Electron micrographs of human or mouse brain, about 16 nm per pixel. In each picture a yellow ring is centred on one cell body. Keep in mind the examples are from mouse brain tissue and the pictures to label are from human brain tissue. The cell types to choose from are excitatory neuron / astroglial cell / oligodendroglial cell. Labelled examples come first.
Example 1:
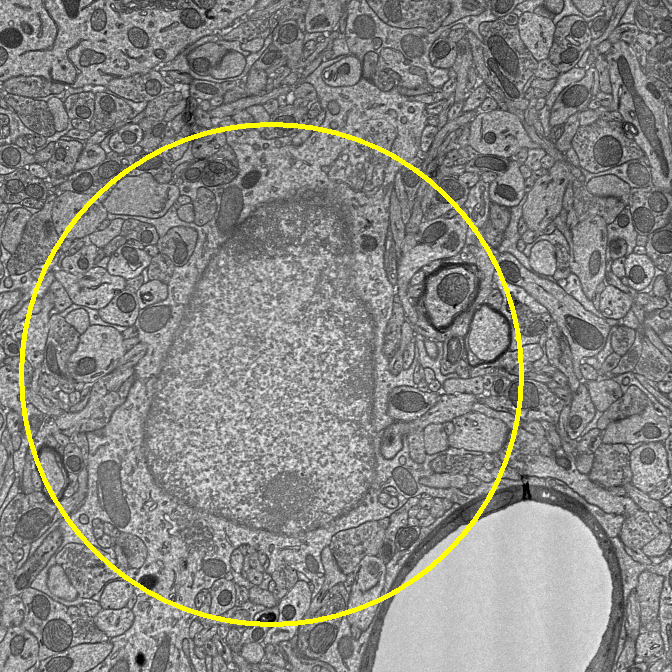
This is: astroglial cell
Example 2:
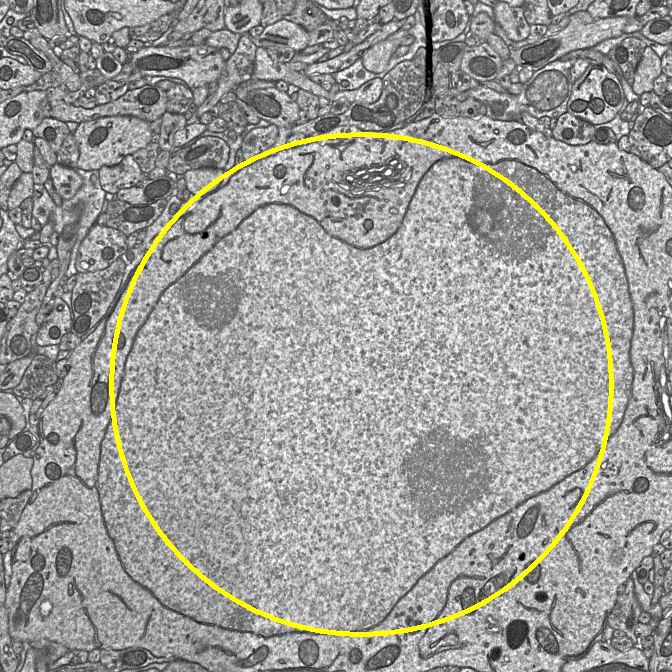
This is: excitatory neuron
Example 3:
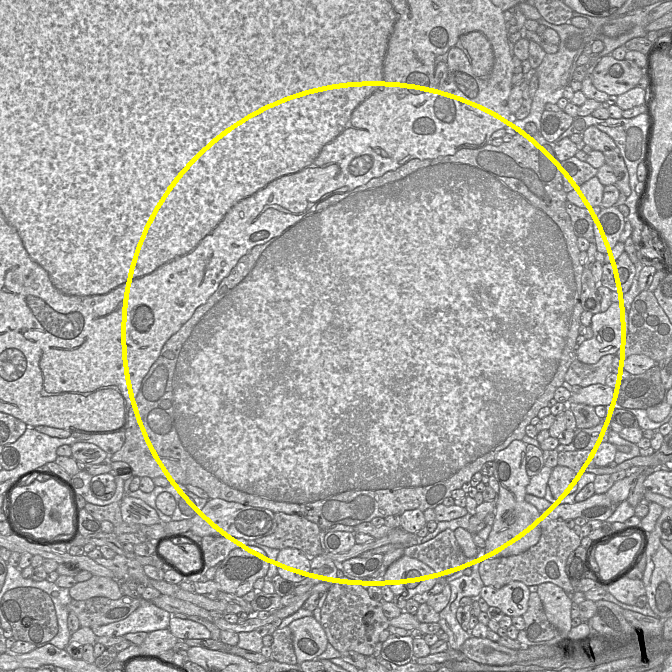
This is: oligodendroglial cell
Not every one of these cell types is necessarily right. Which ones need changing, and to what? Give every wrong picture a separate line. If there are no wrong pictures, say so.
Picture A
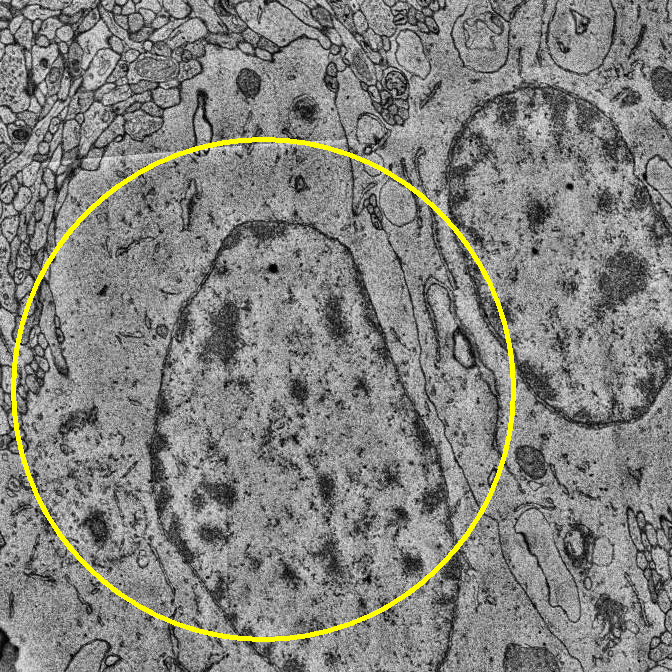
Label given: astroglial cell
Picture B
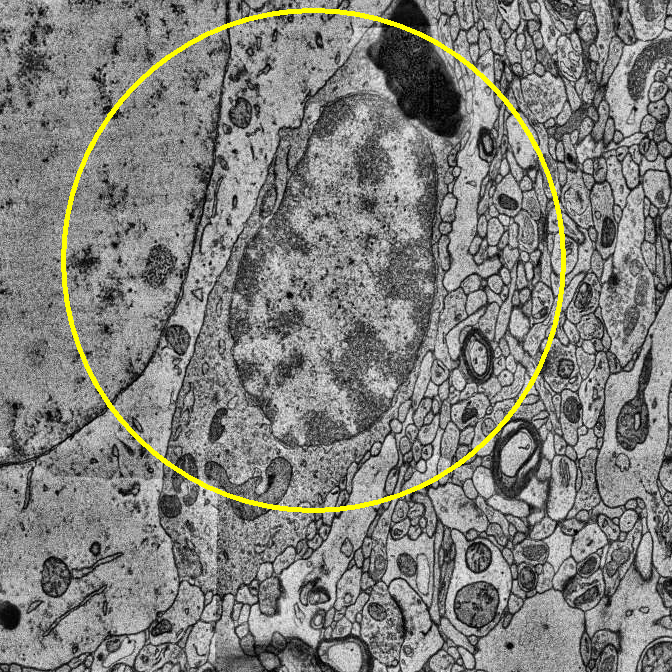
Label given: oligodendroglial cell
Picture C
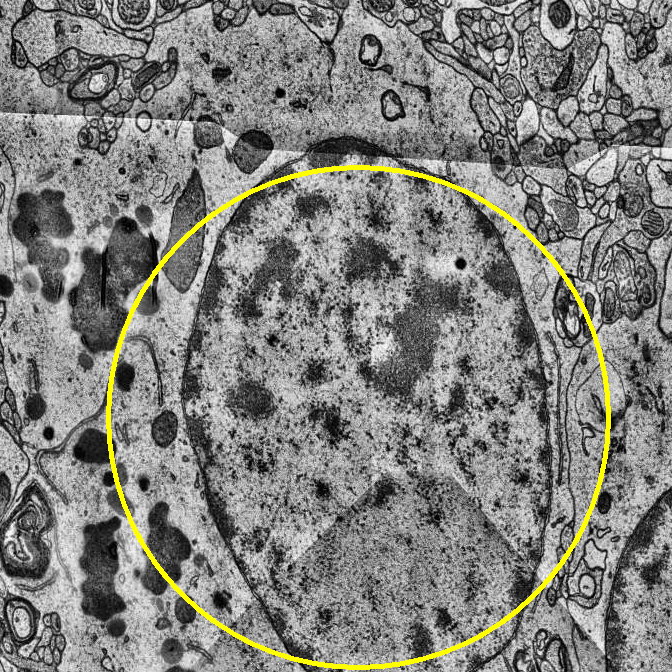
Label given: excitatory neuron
C should be astroglial cell, not excitatory neuron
